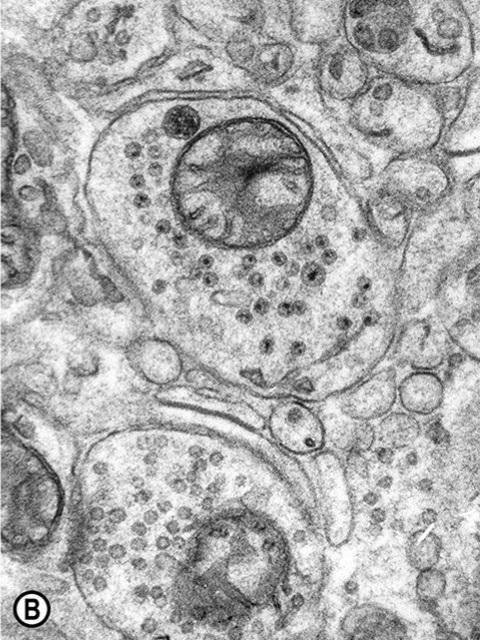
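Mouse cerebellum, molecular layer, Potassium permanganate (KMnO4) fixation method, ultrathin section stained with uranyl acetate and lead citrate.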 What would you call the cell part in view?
small granular vesicles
